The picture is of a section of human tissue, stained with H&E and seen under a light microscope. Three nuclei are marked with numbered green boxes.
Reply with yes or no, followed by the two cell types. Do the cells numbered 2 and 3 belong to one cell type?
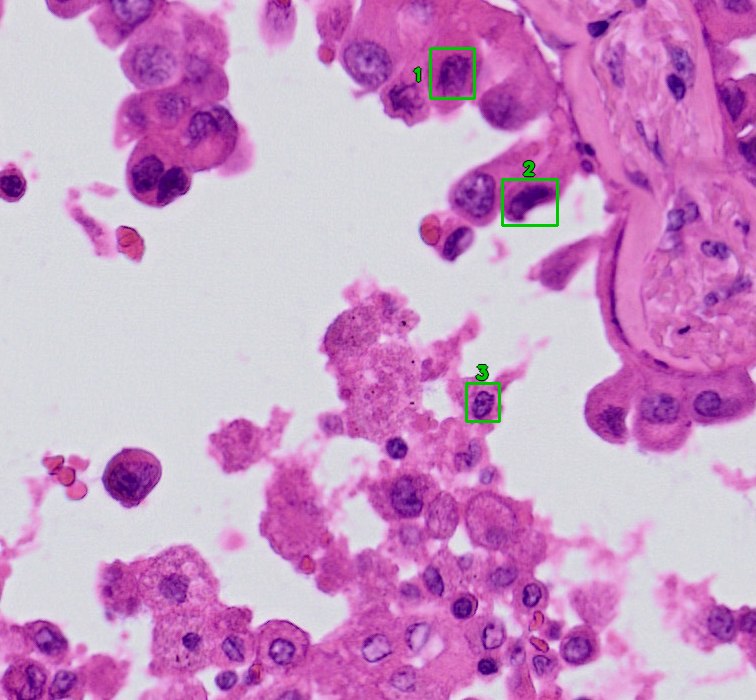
No, cell 2 is a carcinoma cell, and as for cell 3, it is a macrophage or monocyte.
